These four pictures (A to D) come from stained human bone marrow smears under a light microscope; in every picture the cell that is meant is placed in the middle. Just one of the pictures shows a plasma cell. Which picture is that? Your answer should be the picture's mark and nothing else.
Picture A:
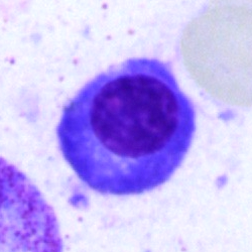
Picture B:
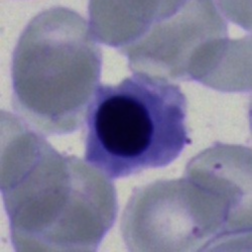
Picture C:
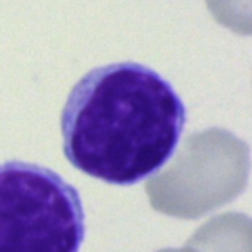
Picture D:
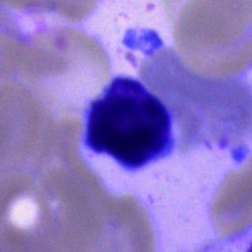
A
